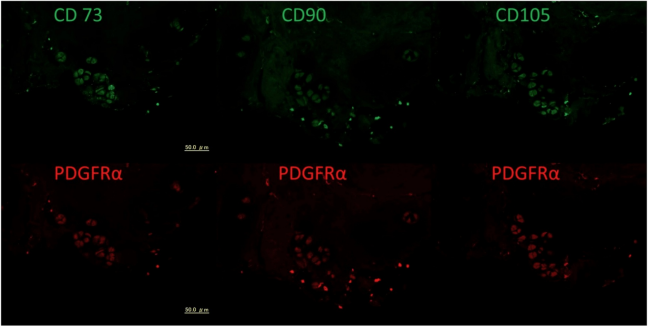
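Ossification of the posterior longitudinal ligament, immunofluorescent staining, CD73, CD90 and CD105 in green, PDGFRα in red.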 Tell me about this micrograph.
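Small rounded cells are gathered into tight clusters, with scattered single cells around them in a dim matrix. The same clustered cells appear in both the green image and the red image below it.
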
